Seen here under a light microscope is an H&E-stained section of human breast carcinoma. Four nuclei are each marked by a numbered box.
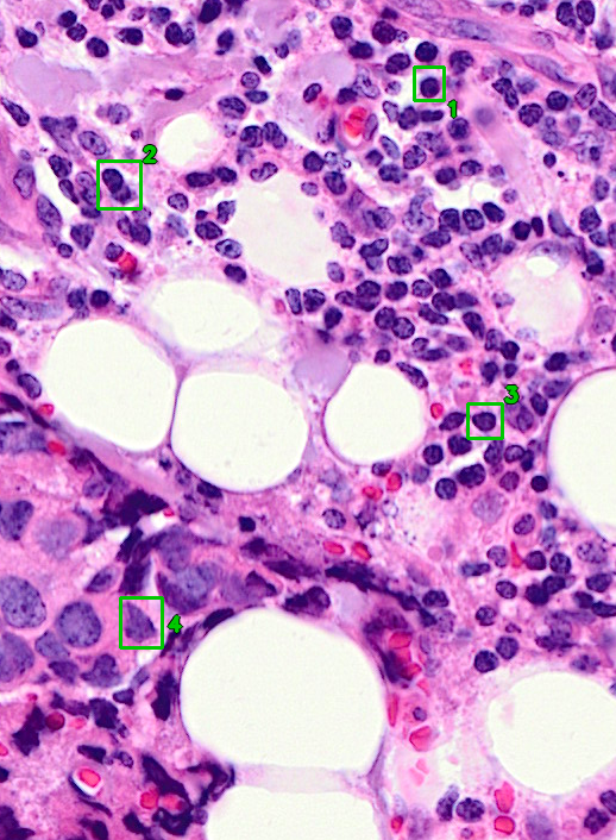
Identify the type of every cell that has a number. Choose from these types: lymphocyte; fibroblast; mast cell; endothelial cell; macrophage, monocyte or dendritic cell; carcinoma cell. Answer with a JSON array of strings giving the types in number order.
["lymphocyte", "lymphocyte", "lymphocyte", "carcinoma cell"]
